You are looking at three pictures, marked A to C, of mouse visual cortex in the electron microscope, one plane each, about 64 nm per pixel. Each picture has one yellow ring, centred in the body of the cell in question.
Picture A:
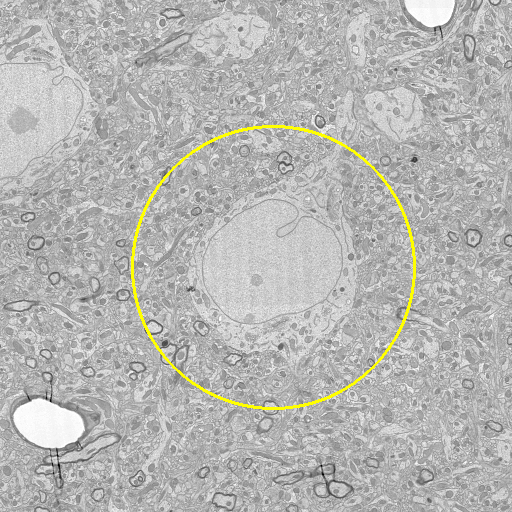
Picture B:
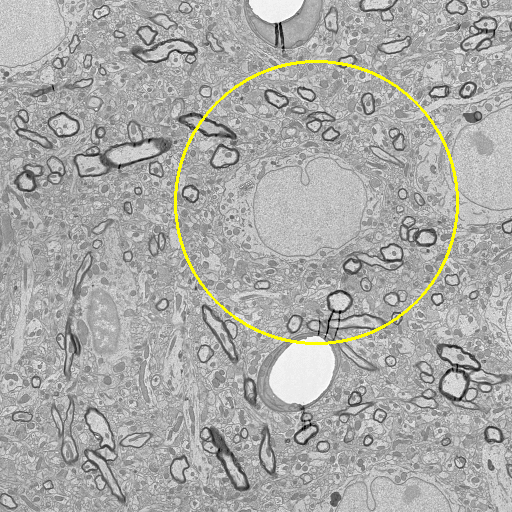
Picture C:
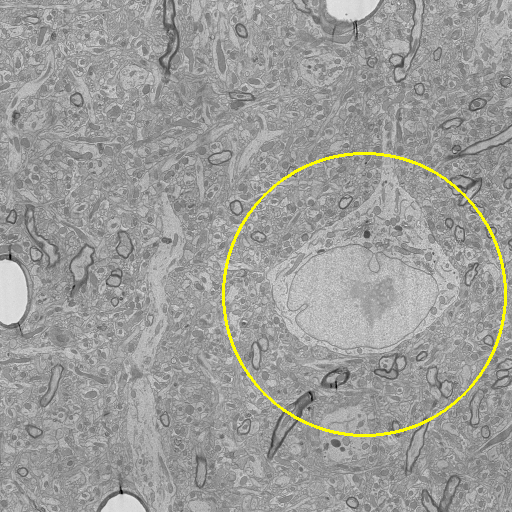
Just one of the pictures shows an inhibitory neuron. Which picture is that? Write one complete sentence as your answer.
The cell in picture C is the inhibitory neuron.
